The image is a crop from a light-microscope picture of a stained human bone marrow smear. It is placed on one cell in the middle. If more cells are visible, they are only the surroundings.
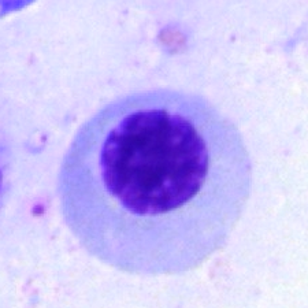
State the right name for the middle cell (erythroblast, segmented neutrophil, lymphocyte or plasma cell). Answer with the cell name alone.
erythroblast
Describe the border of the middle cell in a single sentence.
The cell shows a smooth outline that lacks any surface projections.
